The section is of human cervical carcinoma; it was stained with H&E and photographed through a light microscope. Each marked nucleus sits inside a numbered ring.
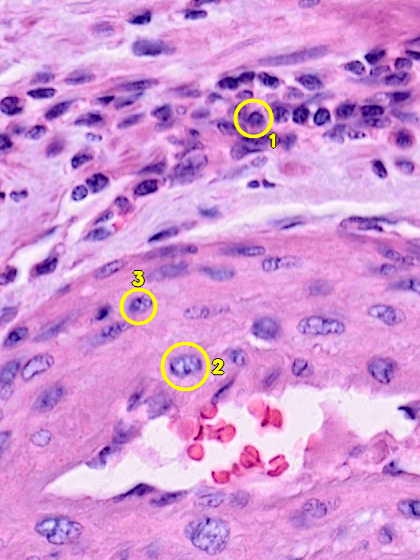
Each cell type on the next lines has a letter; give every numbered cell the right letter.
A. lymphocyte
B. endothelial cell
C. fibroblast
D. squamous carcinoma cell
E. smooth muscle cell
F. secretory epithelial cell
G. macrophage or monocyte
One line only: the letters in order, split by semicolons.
A; E; E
